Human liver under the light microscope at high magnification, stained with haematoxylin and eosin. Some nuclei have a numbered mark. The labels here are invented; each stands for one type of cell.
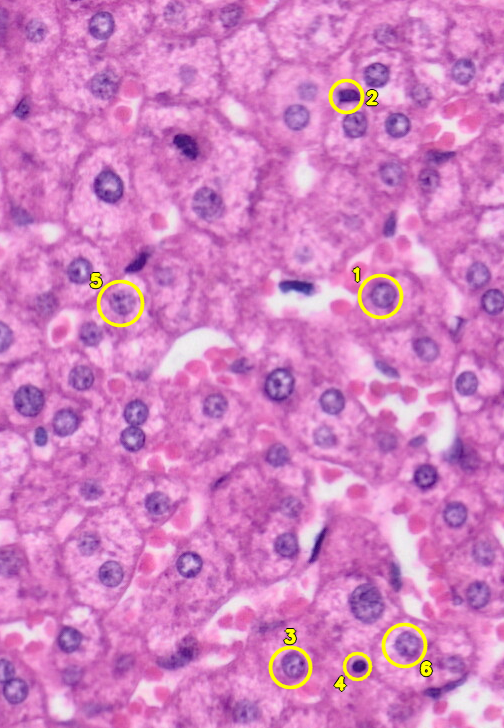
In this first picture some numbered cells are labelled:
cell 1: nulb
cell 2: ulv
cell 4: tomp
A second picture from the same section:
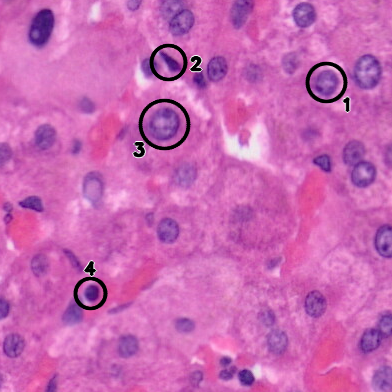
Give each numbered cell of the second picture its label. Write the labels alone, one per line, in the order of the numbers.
nulb
ulv
nulb
tomp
